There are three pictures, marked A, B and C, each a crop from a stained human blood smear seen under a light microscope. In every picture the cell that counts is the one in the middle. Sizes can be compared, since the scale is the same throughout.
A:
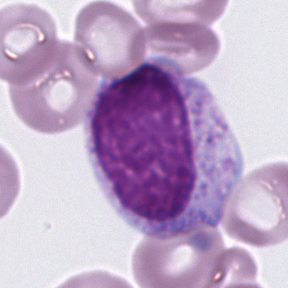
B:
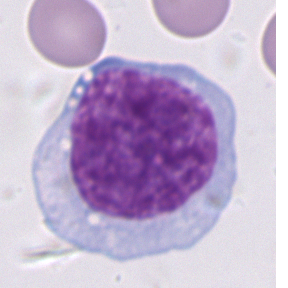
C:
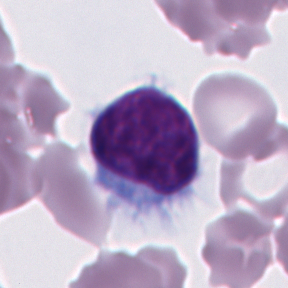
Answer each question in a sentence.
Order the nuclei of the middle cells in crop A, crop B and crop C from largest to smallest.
Going down, they run B, A, C.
